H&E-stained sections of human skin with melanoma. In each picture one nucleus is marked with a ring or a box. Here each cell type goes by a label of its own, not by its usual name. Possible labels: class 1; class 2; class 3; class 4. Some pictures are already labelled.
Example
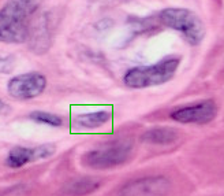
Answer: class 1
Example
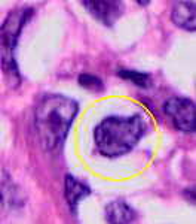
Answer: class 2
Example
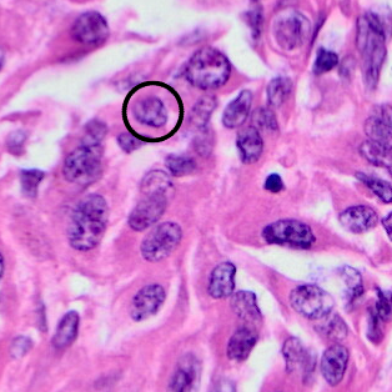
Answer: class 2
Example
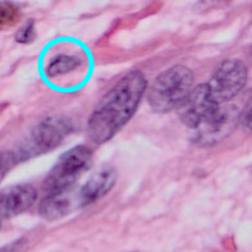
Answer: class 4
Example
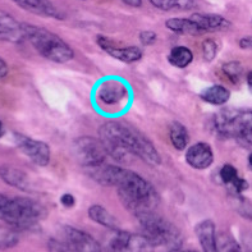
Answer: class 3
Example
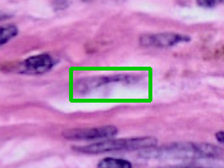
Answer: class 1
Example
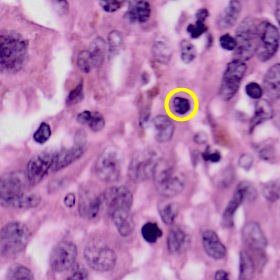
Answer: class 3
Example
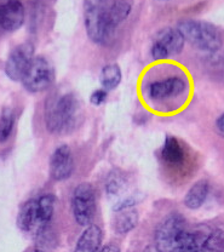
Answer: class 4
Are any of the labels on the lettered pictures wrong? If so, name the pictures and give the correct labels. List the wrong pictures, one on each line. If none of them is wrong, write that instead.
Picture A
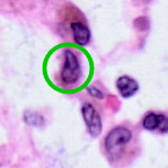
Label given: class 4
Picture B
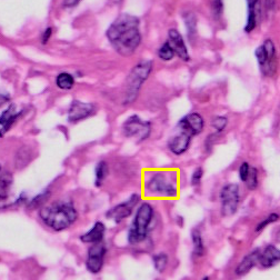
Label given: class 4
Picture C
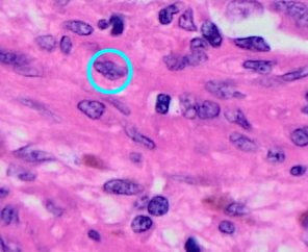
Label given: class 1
C: not class 1 but class 4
